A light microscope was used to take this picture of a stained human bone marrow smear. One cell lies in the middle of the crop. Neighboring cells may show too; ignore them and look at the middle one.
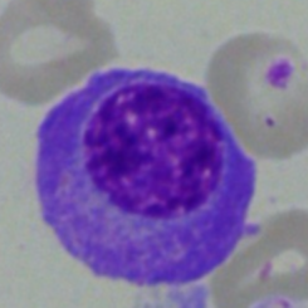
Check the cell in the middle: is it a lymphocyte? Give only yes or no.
no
